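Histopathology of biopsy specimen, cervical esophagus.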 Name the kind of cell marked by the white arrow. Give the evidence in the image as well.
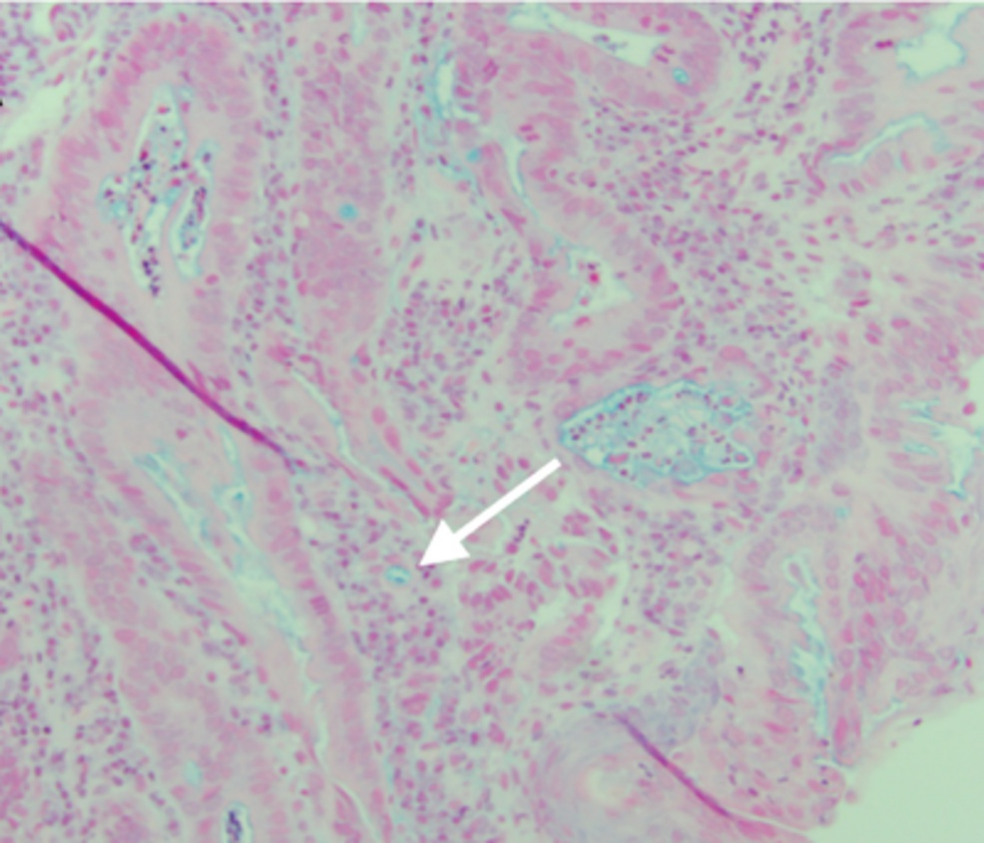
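Blue-green material also fills several gland lumina elsewhere in the panel.
Hence: goblet cells.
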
